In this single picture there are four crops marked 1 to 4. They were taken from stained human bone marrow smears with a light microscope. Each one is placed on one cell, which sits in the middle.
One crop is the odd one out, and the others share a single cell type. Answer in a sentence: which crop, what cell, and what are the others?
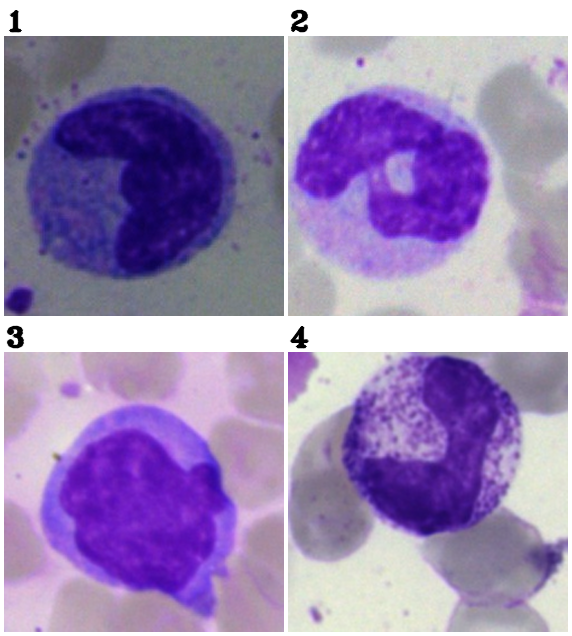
Only crop 4 differs, being a band neutrophil, while the others all show monocytes.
